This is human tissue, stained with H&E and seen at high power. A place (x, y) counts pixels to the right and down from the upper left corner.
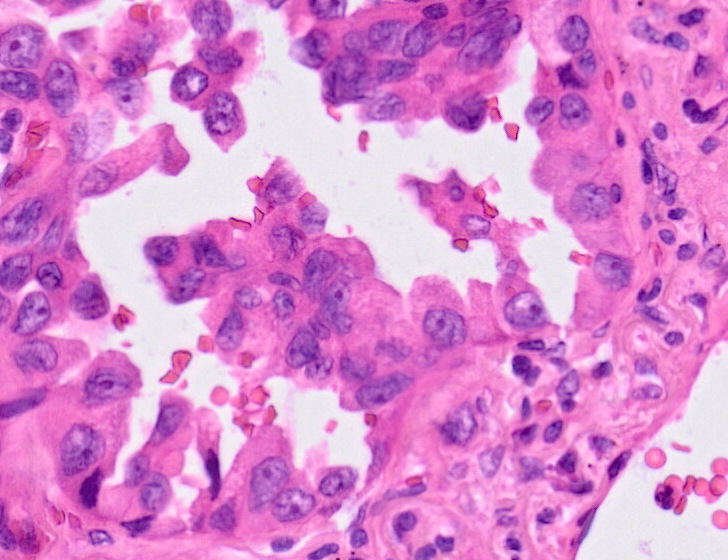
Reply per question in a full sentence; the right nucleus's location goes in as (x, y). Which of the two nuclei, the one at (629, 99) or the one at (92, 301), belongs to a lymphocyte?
The nucleus at (629, 99) is the member of the pair belonging to a lymphocyte.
